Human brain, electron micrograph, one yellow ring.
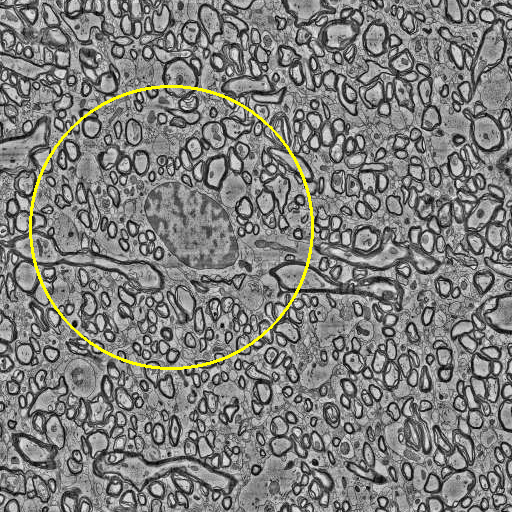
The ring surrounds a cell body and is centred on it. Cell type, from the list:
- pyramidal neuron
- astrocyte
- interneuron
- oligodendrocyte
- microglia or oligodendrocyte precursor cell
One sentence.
The yellow ring circles a microglial cell or oligodendrocyte precursor cell.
